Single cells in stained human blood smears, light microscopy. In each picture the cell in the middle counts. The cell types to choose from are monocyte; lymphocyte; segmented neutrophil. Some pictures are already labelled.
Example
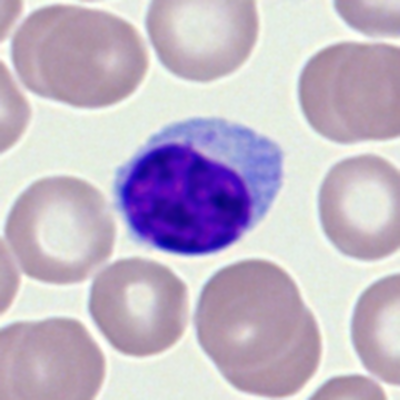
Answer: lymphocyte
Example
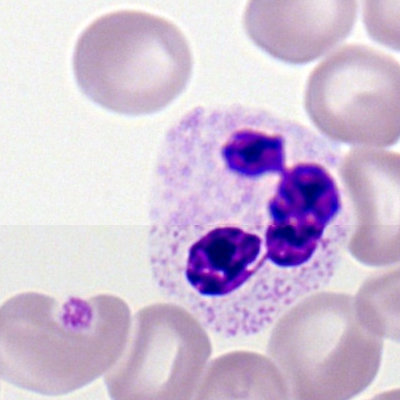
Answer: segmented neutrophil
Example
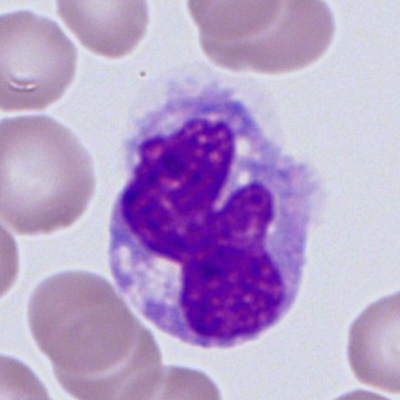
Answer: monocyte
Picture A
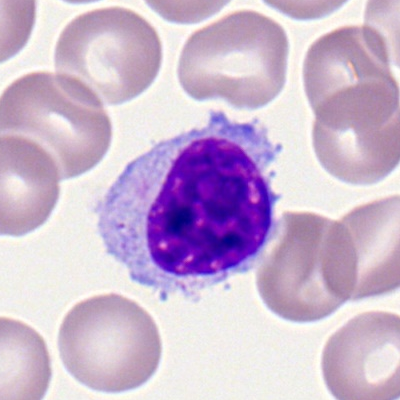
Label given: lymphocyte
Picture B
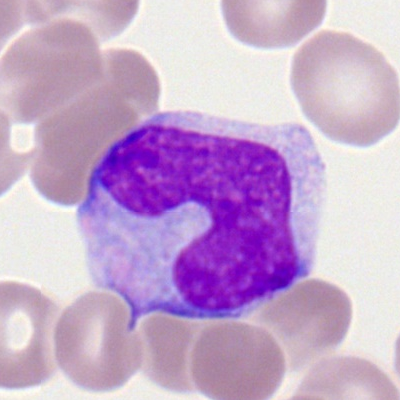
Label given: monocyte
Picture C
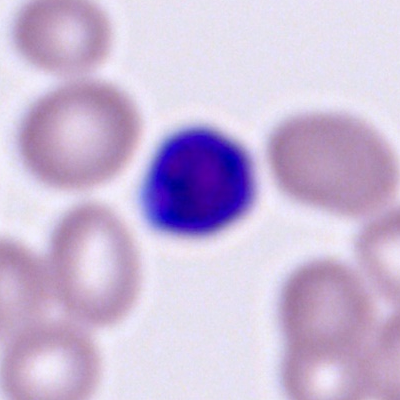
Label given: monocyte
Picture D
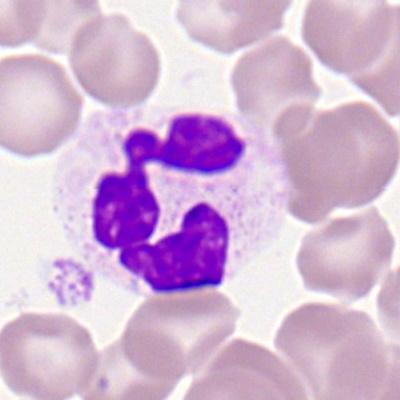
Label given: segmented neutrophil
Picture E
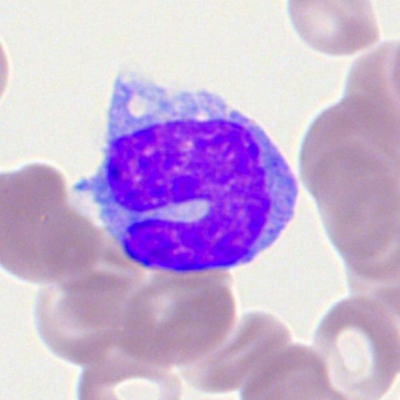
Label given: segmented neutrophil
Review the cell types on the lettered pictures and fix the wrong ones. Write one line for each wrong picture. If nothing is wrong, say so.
C: change monocyte to lymphocyte
E: change segmented neutrophil to monocyte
